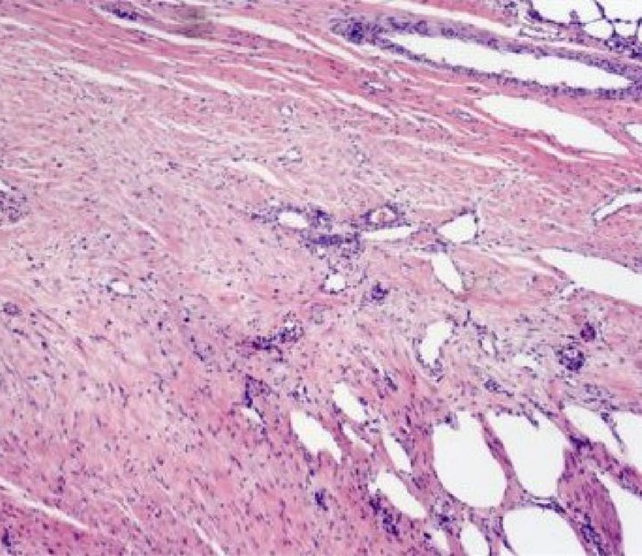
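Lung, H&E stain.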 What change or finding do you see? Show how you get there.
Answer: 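Fibrosis. Broad sweeps of pink, fibrillar tissue fill much of the field. Elongated, spindle-shaped nuclei run in parallel streams through the pink tissue. Normal thin-walled alveolar architecture is largely replaced.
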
